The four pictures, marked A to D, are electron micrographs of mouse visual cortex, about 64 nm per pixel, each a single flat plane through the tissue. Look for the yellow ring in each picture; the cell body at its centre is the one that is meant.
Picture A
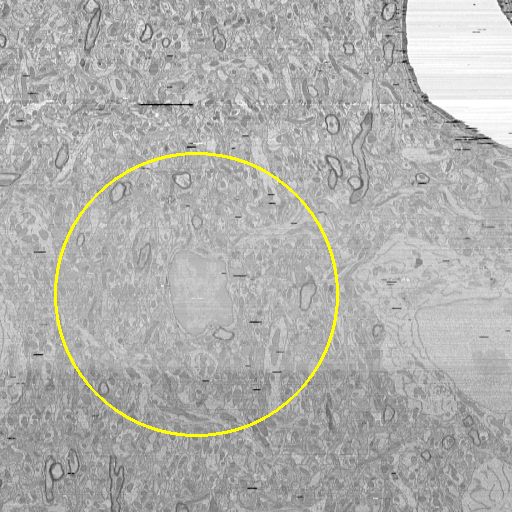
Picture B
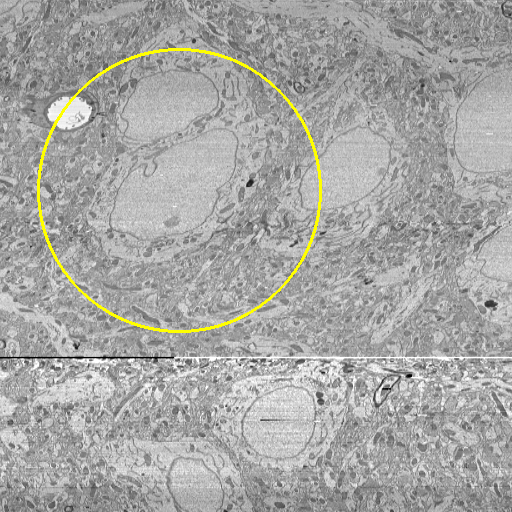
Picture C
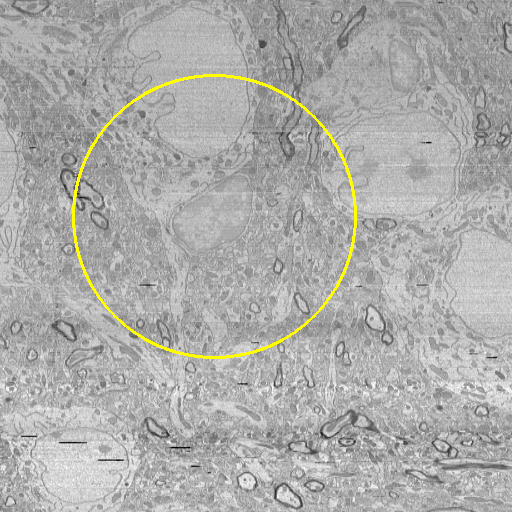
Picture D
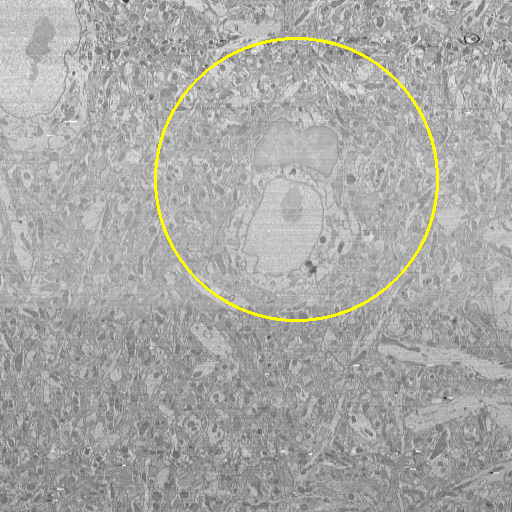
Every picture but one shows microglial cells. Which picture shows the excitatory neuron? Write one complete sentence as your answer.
It is picture B that shows the excitatory neuron.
